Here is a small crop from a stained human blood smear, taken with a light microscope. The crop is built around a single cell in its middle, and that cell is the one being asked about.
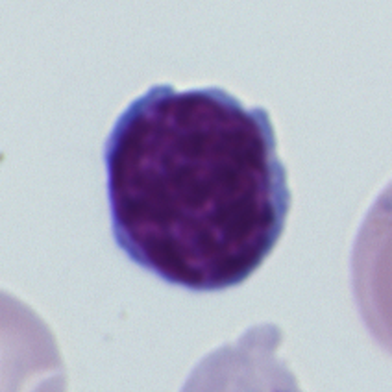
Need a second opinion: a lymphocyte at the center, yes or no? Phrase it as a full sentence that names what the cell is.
Yes, the cell in the middle is rightly called a lymphocyte.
